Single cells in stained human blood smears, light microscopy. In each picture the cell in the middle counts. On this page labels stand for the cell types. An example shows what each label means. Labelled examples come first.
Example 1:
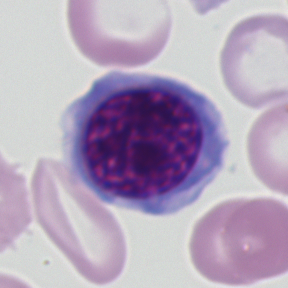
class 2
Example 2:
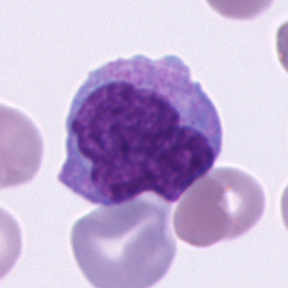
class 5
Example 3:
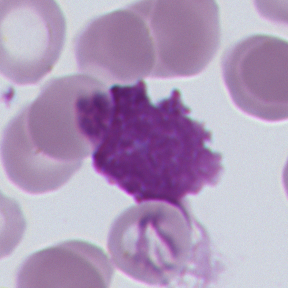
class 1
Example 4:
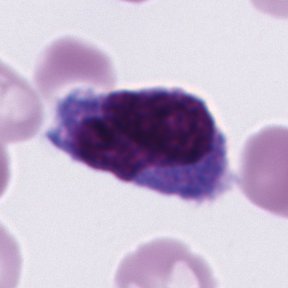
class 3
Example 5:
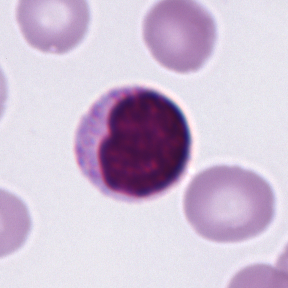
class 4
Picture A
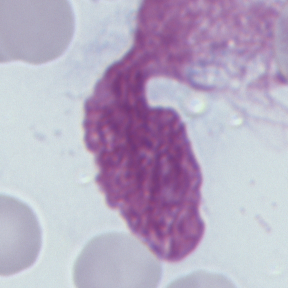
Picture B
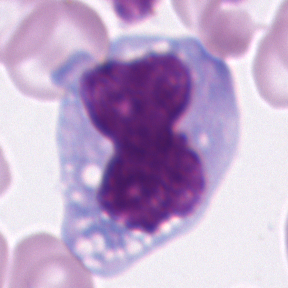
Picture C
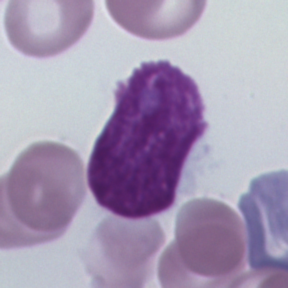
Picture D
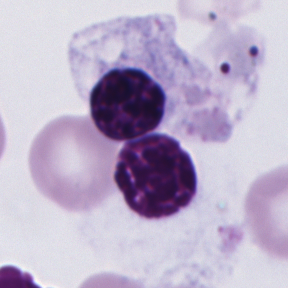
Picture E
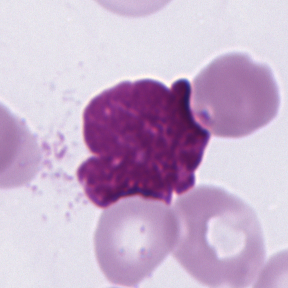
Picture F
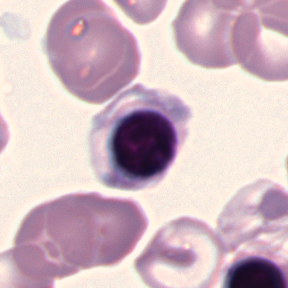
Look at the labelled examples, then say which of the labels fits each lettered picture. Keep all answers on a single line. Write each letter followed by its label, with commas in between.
A class 1, B class 3, C class 1, D class 2, E class 1, F class 2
